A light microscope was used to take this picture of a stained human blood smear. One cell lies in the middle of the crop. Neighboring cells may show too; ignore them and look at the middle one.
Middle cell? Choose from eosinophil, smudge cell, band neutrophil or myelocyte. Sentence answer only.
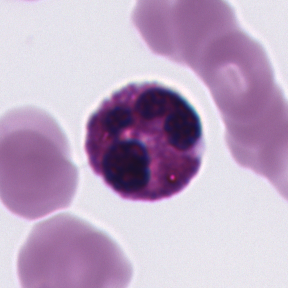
Classification of the middle cell gives an eosinophil.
